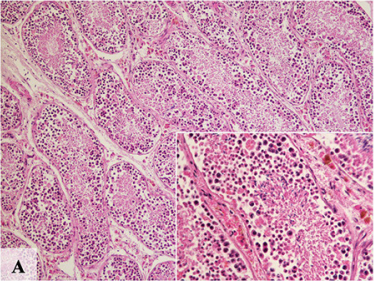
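Testicular parenchyma with many seminiferous ducts in cross and oblique section, each lined by a multilayered germinal epithelium of round cells with dark purple nuclei, separated by thin strands of pale interstitial connective tissue. The lumina contain loosened, exfoliated germ cells. The higher-magnification inset shows densely packed germ cells with round dark nuclei of differing sizes within the tubule, and a few brown granules in the interstitium.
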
